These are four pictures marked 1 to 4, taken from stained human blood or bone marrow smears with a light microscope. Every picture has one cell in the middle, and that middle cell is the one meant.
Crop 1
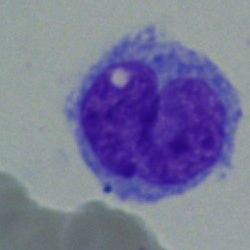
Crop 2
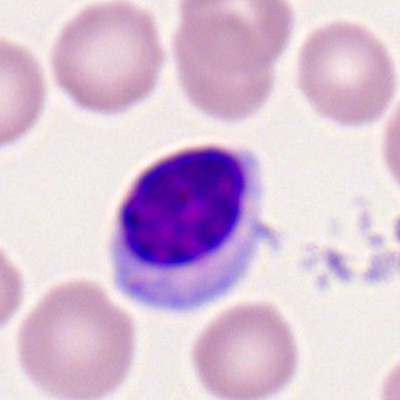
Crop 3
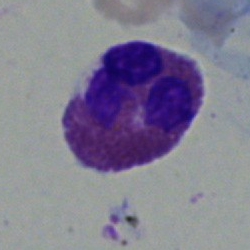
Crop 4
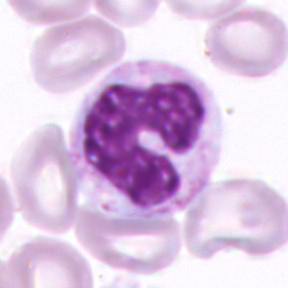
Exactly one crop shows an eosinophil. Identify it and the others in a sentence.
So crop 3 shows an eosinophil, while crop 1 is a monocyte, crop 2 is a lymphocyte and crop 4 is a band neutrophil.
